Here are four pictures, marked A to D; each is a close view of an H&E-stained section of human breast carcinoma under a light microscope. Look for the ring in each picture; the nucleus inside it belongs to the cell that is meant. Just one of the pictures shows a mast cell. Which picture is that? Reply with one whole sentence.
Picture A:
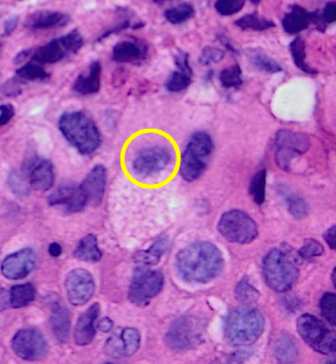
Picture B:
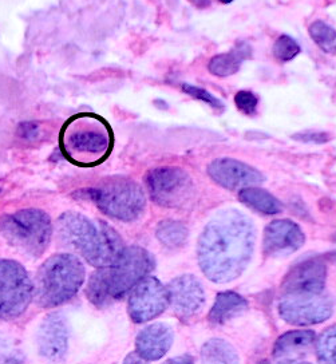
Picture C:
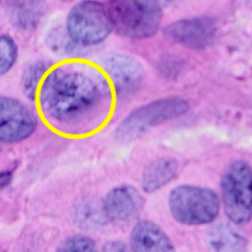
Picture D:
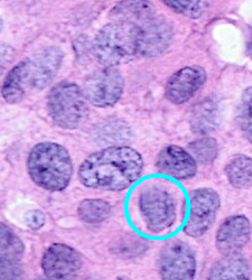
The cell in picture B is the mast cell.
